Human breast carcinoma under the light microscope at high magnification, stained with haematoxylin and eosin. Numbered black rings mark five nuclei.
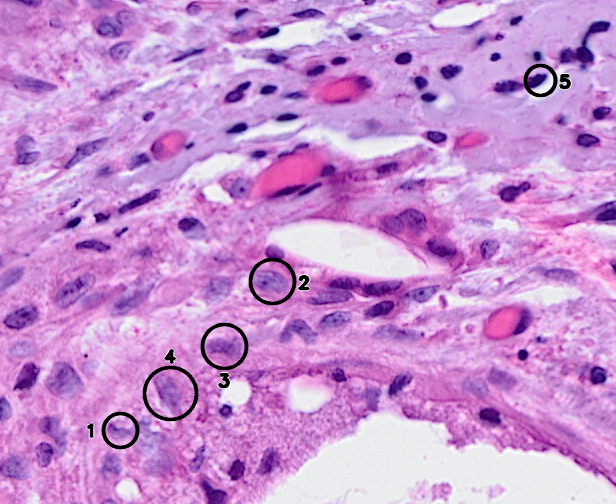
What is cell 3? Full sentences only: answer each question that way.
The cell pointed out as number 3 is a fibroblast.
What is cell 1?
The cell given label 1 is a macrophage, monocyte or dendritic cell.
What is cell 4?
Regarding cell 4, this one is a fibroblast.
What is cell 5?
Nucleus 5 in this section belongs to a lymphocyte.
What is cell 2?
In the marked set, the cell given number 2 is an endothelial cell.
